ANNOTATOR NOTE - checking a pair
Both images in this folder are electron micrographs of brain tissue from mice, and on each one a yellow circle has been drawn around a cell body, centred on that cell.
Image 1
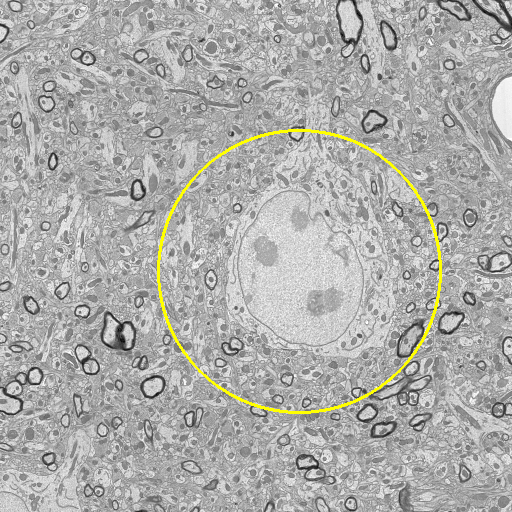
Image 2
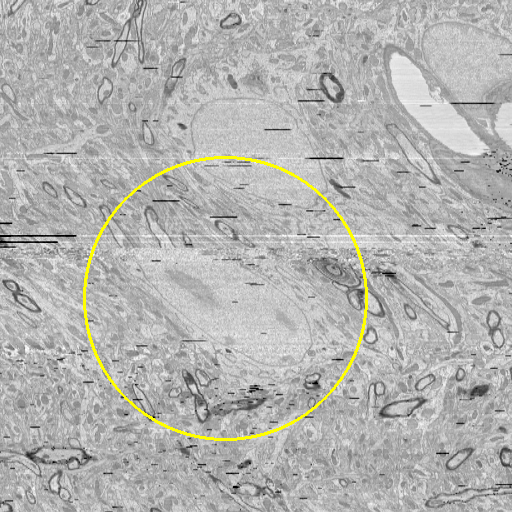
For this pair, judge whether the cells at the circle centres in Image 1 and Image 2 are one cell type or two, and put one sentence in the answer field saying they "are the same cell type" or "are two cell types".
For this pair, the cells at the circle centres in Images 1 and 2 are the same cell type.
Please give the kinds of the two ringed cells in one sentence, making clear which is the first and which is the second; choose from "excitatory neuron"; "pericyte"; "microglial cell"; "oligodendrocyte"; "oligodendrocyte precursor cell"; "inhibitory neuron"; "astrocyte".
In both pictures the ring is centred on an excitatory neuron.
